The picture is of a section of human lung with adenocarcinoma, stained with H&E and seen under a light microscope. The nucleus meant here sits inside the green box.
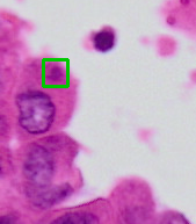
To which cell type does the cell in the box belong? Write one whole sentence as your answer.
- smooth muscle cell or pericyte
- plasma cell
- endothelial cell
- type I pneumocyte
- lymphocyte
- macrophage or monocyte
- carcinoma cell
This is a carcinoma cell.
